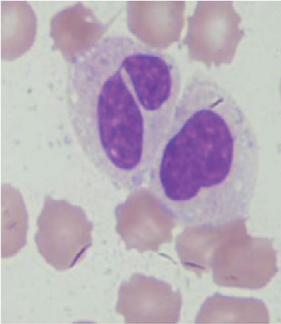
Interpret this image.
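Two neutrophil granulocytes lie side by side among round red blood cells in a blood smear. The cytoplasm around the nuclei is wide, pale and greyish-pink, with hardly any visible granules. The surrounding red blood cells are pink discs without nuclei.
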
